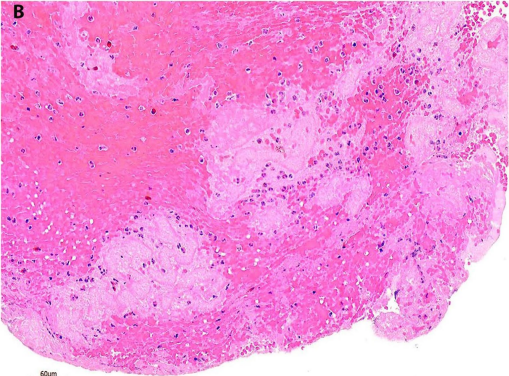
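This is a blood clot seen at higher power, built of red blood cells, fibrin and platelets with scattered nucleated cells. The deep red-pink regions are packed red blood cells, and loose red cells lie free at the upper right edge. Between them lie pale pink, finely granular patches of fibrin and platelets.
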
